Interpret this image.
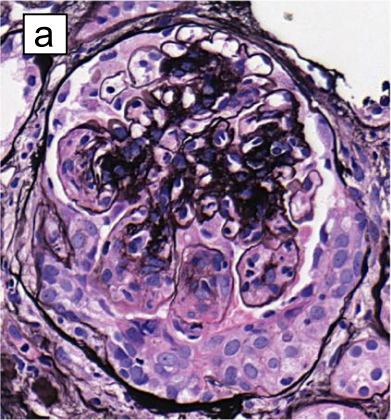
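A glomerulus is shown with extra-capillary cell proliferation. The central capillary tuft, outlined by black silver-stained basement membranes, is compressed and lobulated. Around it, the space inside the capsule is filled by several layers of crowded cells with round to oval purple nuclei and pale pink cytoplasm, forming a thick cellular cap especially along the lower half. The outer capsule appears as a thin black line at the periphery. Surrounding tubules with pink cytoplasm lie outside the capsule at the edges of the field.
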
